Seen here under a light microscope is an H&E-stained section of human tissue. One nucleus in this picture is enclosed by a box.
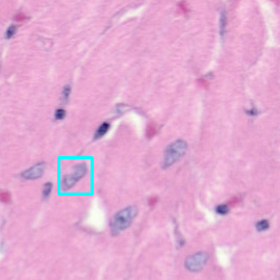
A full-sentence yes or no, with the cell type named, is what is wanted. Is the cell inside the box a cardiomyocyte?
Yes, to put it simply, the cell inside the box is a cardiomyocyte.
